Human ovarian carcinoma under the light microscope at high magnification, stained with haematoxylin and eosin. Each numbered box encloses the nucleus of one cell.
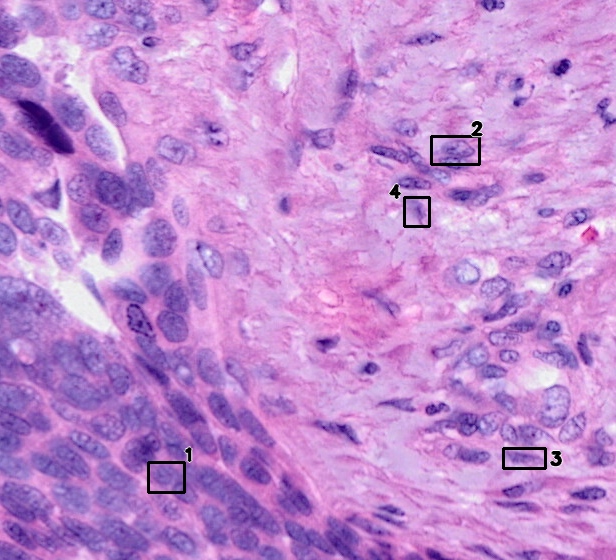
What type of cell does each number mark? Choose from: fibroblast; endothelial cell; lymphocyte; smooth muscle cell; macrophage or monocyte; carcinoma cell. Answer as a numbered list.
1. carcinoma cell
2. fibroblast
3. fibroblast
4. fibroblast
